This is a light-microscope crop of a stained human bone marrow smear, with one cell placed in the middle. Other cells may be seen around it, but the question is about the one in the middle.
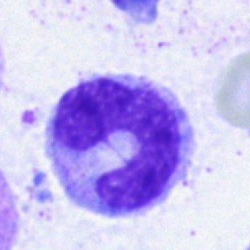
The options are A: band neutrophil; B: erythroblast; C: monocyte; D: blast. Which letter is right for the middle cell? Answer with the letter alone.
A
